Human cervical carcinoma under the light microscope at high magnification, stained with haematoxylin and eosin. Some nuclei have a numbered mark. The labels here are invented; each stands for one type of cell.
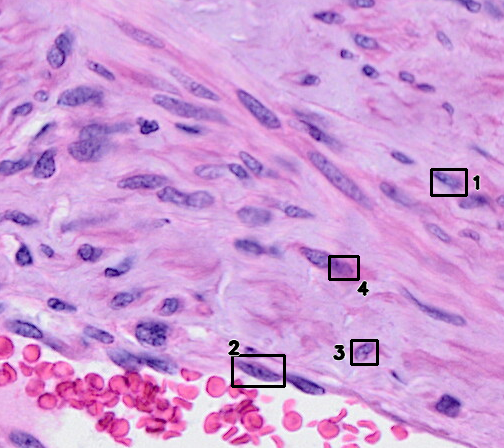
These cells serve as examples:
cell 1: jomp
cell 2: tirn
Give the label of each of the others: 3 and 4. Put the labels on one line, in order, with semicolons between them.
jomp; jomp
